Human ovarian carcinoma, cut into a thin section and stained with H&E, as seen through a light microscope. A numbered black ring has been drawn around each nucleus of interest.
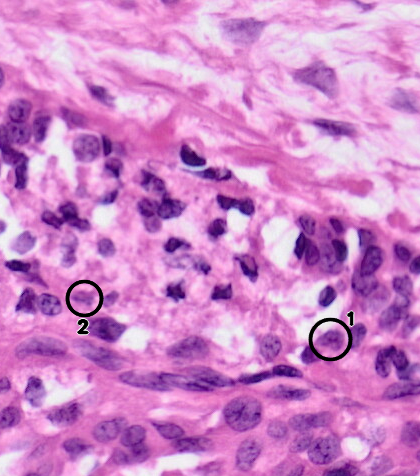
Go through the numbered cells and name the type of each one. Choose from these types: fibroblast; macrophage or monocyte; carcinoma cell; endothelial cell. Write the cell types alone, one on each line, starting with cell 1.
carcinoma cell
macrophage or monocyte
